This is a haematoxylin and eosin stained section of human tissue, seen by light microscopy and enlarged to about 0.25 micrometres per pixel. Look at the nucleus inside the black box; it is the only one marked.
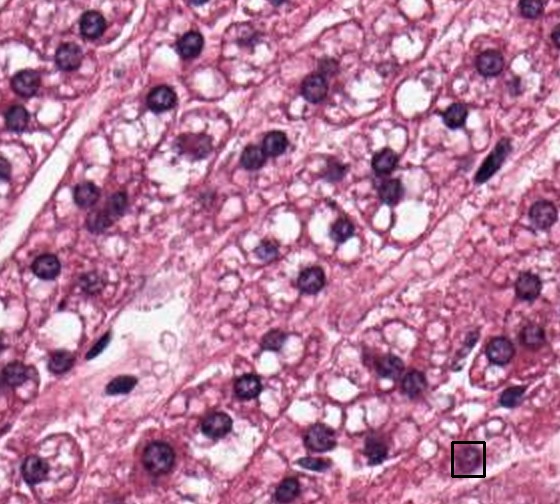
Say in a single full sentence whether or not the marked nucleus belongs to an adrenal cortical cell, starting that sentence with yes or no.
Yes, the nucleus that carries the mark belongs to an adrenal cortical cell.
